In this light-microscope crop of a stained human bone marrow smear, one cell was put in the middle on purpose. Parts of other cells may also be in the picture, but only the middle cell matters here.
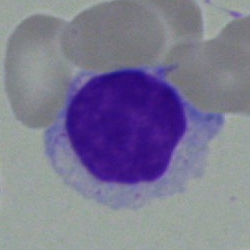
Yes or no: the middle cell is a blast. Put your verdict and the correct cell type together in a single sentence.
No, the cell placed in the centre is a lymphocyte and is not a blast.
